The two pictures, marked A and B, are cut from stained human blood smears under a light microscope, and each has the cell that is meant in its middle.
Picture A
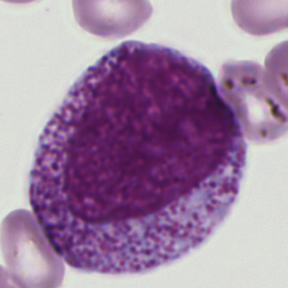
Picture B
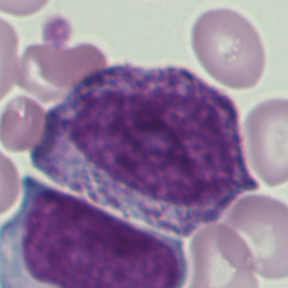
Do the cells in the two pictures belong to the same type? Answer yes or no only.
no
